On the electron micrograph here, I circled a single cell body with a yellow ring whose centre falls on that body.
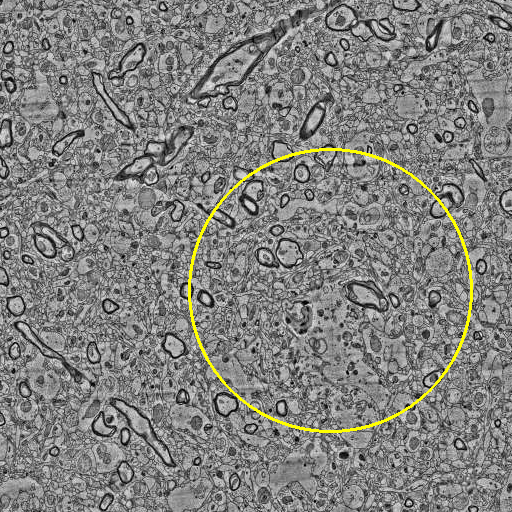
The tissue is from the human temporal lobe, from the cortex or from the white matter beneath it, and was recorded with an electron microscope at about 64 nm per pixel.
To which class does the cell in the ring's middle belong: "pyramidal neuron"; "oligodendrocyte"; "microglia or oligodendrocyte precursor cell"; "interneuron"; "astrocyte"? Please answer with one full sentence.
In this picture, the cell body circled at the ring's centre belongs to a microglial cell or oligodendrocyte precursor cell.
